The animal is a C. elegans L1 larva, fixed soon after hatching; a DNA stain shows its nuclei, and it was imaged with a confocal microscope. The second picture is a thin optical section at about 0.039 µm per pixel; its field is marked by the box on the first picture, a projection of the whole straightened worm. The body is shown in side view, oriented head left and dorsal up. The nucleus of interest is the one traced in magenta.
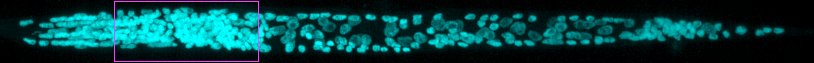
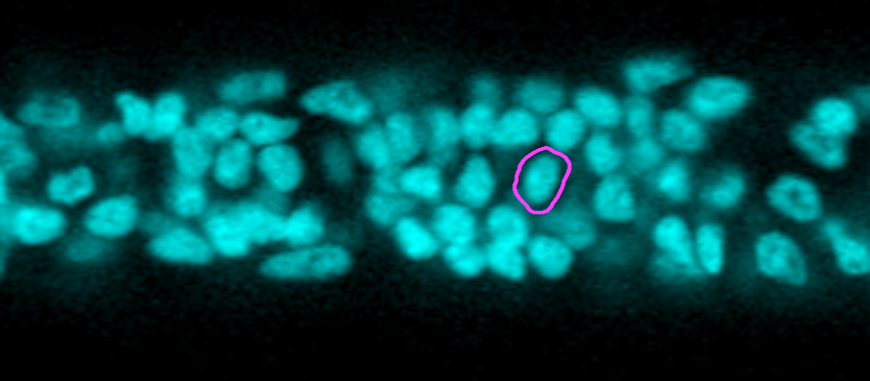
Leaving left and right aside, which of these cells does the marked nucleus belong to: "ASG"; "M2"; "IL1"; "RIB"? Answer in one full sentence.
It belongs to RIB, a neuron.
